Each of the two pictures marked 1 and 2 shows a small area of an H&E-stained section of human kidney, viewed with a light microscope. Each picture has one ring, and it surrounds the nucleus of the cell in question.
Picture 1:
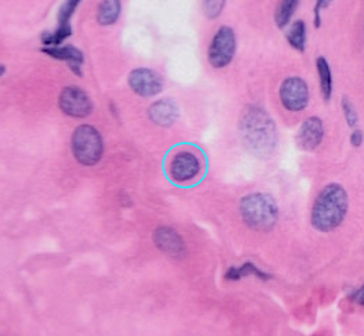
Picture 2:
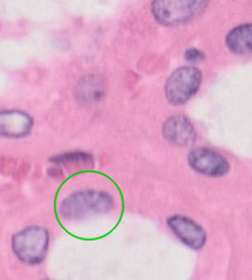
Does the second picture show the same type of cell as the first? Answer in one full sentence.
Yes, both cells are “loop of Henle or distal tubule cells”.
